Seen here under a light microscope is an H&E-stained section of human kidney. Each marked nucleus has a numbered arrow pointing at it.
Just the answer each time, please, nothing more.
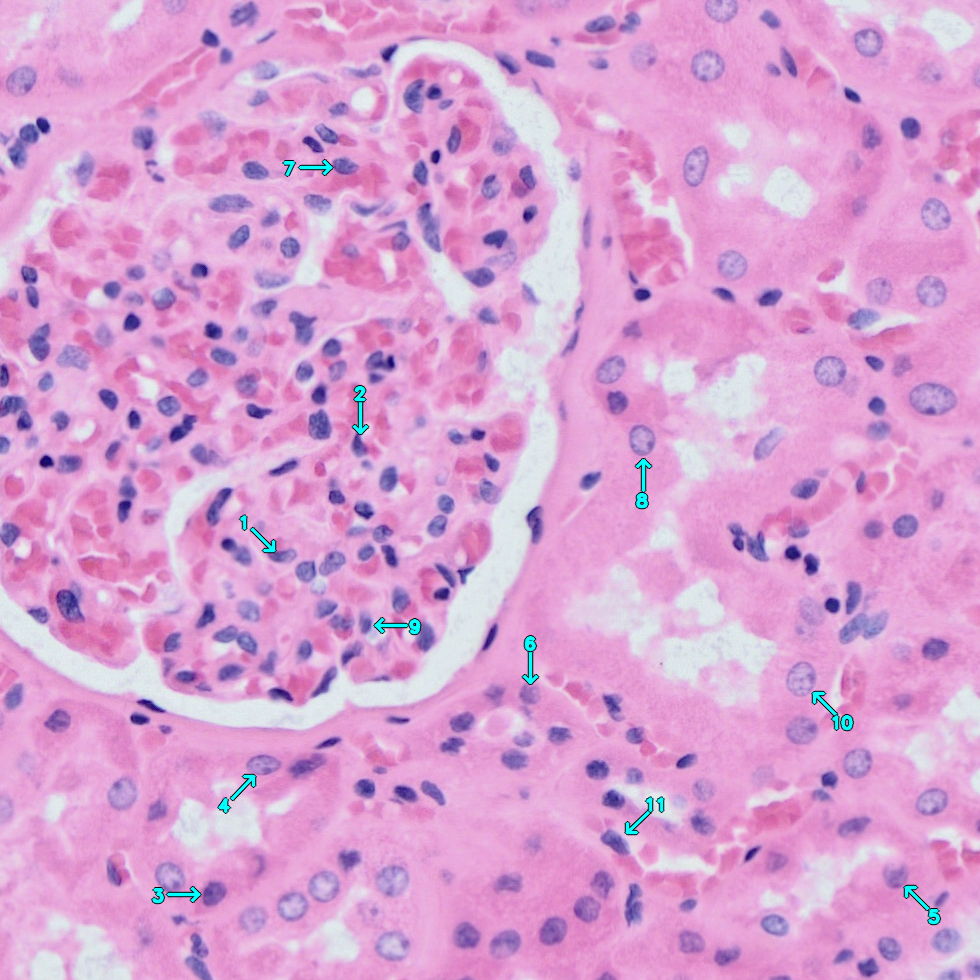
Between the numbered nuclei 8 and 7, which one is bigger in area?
8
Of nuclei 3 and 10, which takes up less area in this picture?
3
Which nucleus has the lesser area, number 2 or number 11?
2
